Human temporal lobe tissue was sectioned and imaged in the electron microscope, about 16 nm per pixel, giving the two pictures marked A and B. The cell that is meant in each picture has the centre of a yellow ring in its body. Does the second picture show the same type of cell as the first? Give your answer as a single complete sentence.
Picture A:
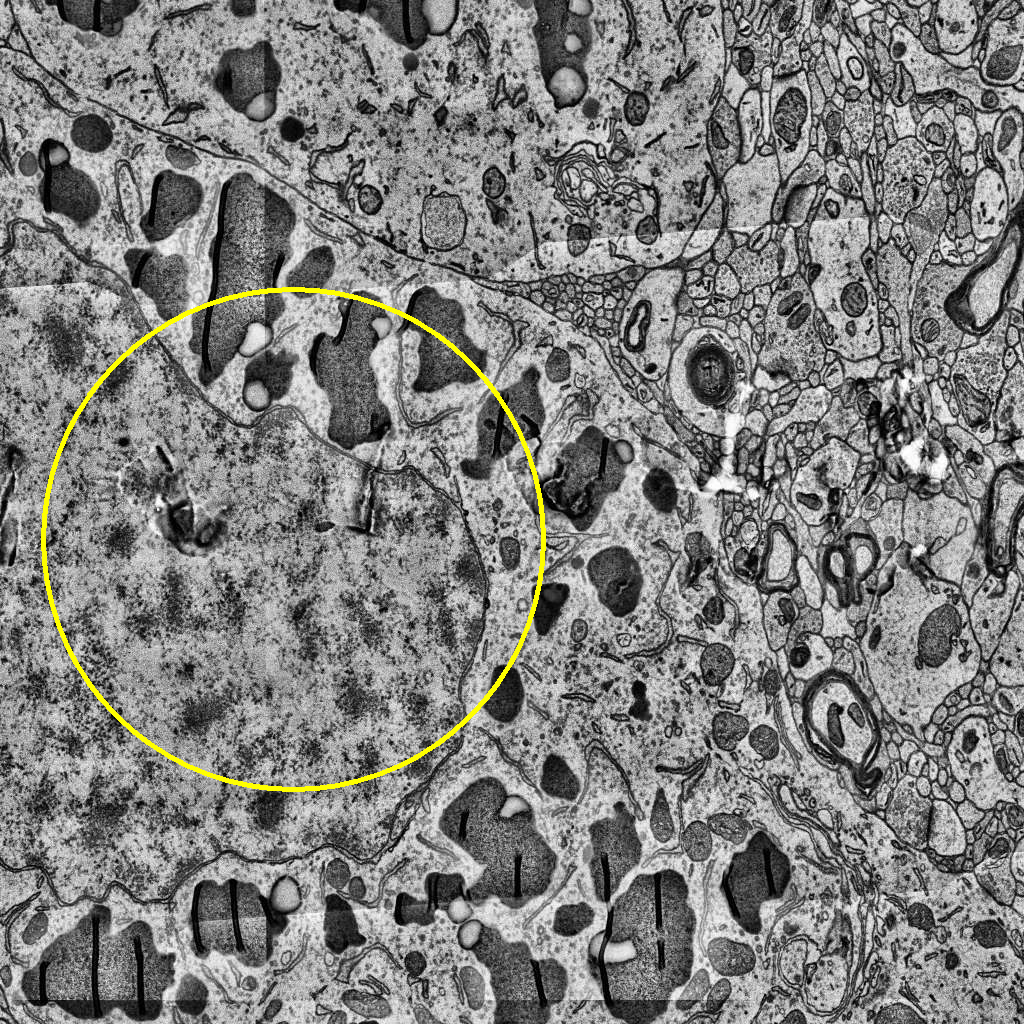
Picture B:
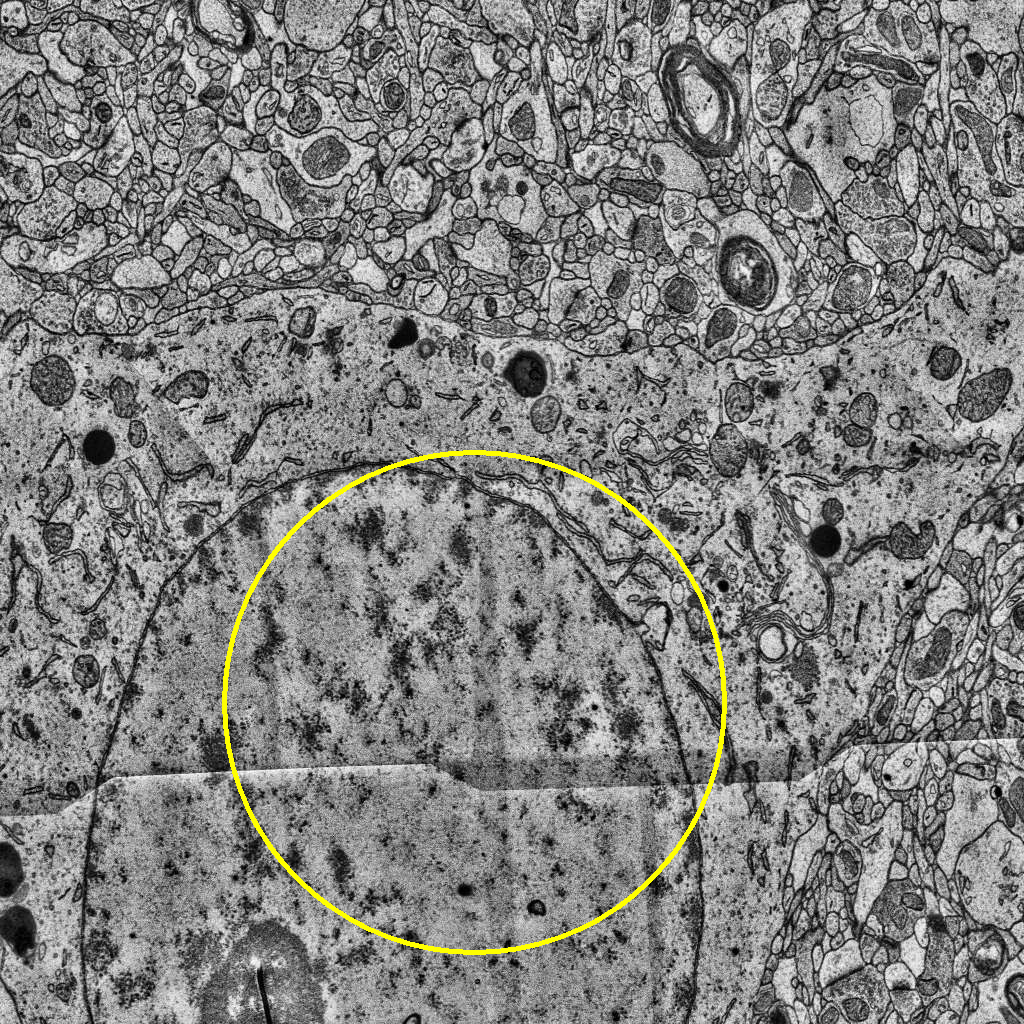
No. Picture A shows an interneuron, but picture B shows a pyramidal neuron.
